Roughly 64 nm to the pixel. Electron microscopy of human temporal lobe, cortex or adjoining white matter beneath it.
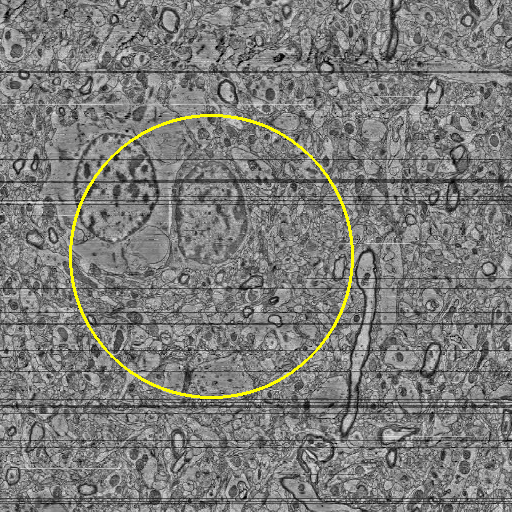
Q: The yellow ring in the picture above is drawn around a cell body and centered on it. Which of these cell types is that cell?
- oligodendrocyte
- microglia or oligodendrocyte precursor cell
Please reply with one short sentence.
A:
The cell body at the ring's center belongs to an oligodendrocyte.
